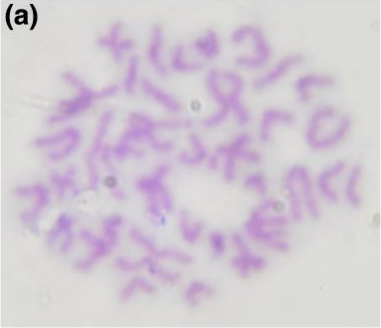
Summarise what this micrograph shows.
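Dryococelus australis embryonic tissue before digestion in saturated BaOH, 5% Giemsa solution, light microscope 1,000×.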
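This is a chromosome spread of a dividing cell at metaphase, with many condensed chromosomes spread in a roughly circular cluster and no surrounding nucleus. The chromosomes stain fairly evenly pink-purple and appear as rods, curved forms and two-armed shapes, many of them long and clearly separate from one another.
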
